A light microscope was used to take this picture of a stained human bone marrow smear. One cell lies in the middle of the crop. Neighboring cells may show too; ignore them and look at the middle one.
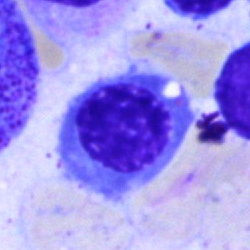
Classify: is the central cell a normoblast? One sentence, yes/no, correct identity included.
Yes, the cell sitting in the center is a normoblast.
